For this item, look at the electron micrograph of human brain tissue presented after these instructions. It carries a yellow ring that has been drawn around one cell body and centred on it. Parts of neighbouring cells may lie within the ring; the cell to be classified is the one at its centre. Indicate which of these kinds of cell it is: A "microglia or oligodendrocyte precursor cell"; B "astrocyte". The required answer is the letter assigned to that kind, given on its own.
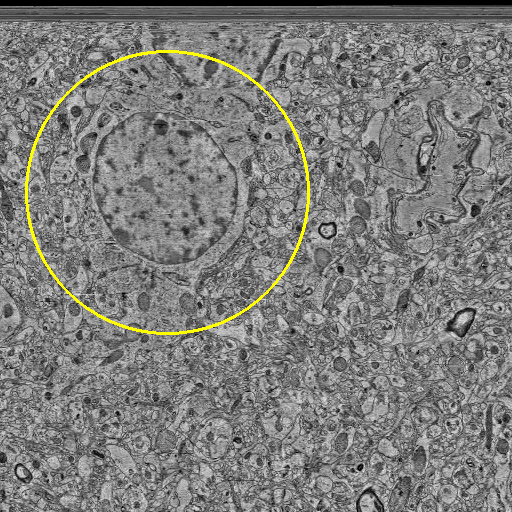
B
